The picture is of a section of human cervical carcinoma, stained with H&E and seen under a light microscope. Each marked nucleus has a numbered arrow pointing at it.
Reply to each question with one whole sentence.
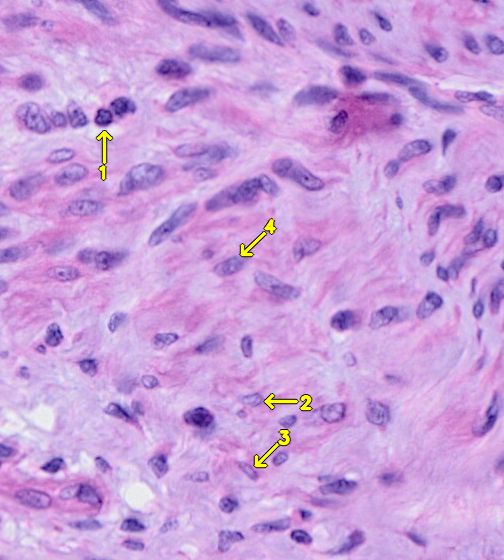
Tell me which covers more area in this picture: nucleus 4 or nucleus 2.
At about 2 times the area of nucleus 2, nucleus 4 is the larger of the two.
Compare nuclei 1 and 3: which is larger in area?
Nucleus 1 is larger, with an area about 1.5 times that of nucleus 3.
